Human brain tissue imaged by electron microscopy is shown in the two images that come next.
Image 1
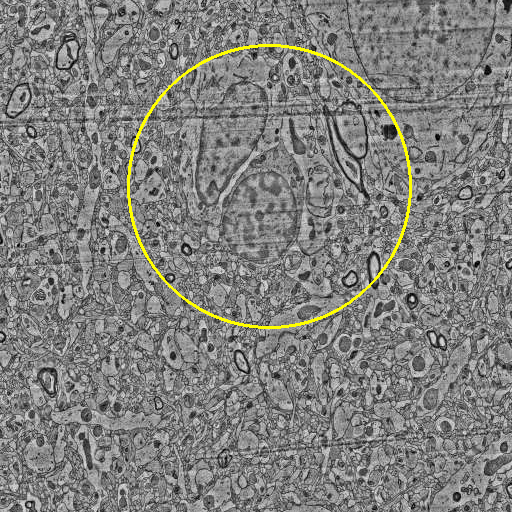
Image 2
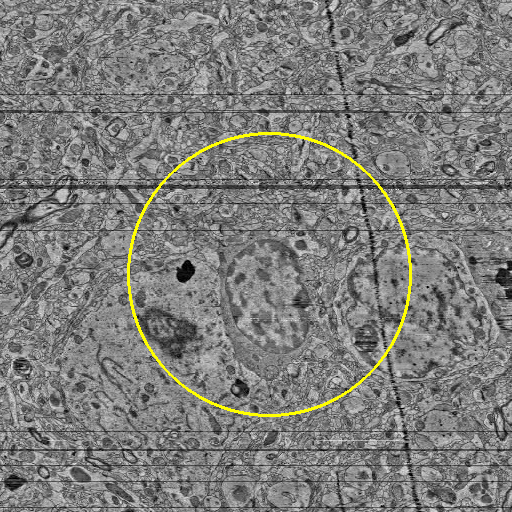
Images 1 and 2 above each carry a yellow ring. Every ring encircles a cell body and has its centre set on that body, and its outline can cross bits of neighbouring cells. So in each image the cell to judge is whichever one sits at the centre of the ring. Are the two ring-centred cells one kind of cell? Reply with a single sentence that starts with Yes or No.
Yes, in Image 1 and Image 2 the cells at the centres of their rings fall into one type.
